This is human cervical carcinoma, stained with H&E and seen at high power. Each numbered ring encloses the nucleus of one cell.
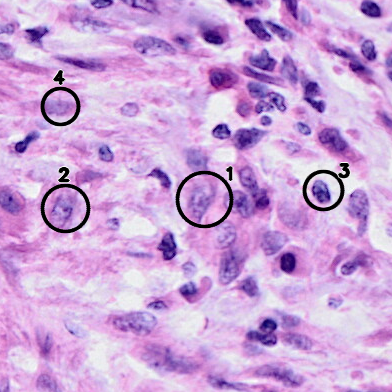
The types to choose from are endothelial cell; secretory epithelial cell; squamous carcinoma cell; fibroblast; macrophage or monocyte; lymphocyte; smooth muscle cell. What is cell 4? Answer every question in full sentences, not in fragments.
What the number 4 marks in this field is a fibroblast.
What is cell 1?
In this section, the cell numbered 1 is an endothelial cell.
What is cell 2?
The cell marked with number 2 is a fibroblast.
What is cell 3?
The identity of cell 3 is that of a lymphocyte.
